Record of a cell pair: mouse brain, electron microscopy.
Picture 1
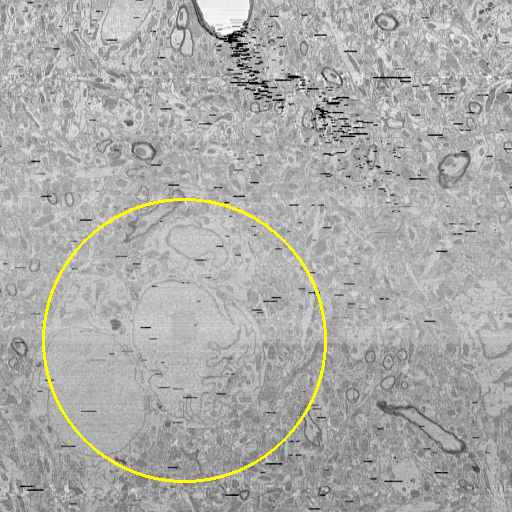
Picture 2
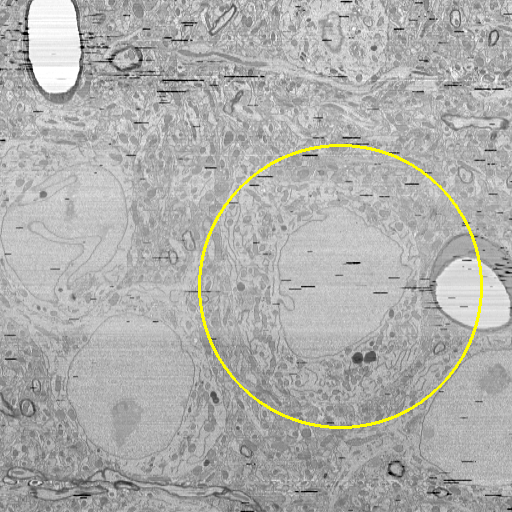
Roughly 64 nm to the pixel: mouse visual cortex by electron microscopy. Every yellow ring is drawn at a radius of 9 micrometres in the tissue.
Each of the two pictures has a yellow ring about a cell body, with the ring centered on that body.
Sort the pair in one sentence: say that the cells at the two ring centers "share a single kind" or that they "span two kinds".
The cells centered in the rings of Pictures 1 and 2 share a single kind.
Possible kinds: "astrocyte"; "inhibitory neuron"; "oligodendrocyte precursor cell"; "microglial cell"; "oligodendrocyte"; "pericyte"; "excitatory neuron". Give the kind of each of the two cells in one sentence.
Each cell at the centre of a ring is an inhibitory neuron.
